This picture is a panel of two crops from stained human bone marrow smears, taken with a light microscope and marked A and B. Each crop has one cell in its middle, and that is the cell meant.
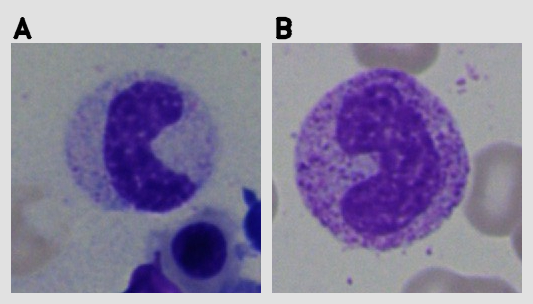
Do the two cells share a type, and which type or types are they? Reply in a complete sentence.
Yes, band neutrophils are centred in both crops.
